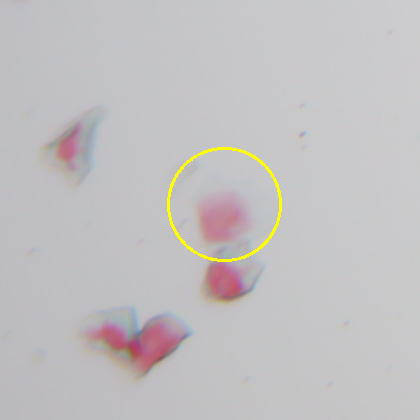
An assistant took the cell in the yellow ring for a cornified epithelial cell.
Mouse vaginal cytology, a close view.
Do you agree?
I agree, it is a cornified epithelial cell.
